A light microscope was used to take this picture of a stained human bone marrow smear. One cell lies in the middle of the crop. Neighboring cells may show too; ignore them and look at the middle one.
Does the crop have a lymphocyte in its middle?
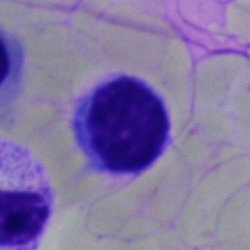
yes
